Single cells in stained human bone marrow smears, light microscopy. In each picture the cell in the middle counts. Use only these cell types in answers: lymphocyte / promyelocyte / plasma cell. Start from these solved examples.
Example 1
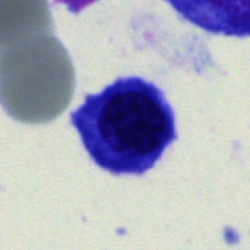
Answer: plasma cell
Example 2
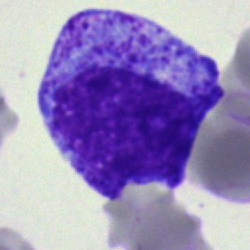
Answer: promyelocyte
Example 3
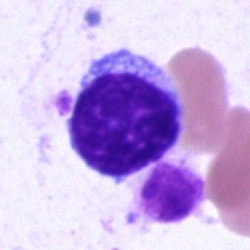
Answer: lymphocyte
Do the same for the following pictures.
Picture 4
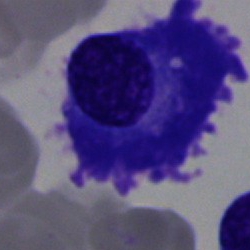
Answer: plasma cell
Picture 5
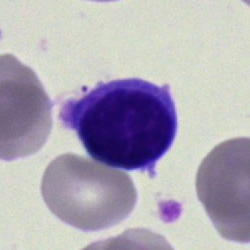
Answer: lymphocyte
